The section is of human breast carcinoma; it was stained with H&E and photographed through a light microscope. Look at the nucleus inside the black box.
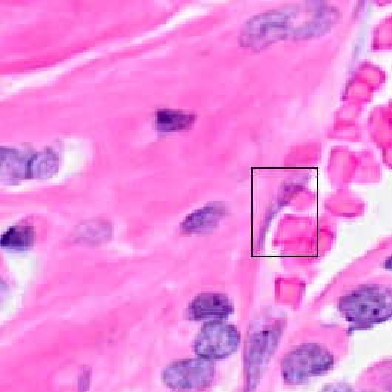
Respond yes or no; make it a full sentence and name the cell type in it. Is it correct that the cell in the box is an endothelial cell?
Yes, in this section the cell in the box is an endothelial cell.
